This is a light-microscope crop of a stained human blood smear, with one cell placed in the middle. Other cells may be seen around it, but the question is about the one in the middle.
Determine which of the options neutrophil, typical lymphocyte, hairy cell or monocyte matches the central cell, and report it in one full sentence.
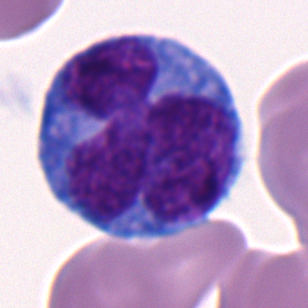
For this crop, the central cell is a monocyte.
